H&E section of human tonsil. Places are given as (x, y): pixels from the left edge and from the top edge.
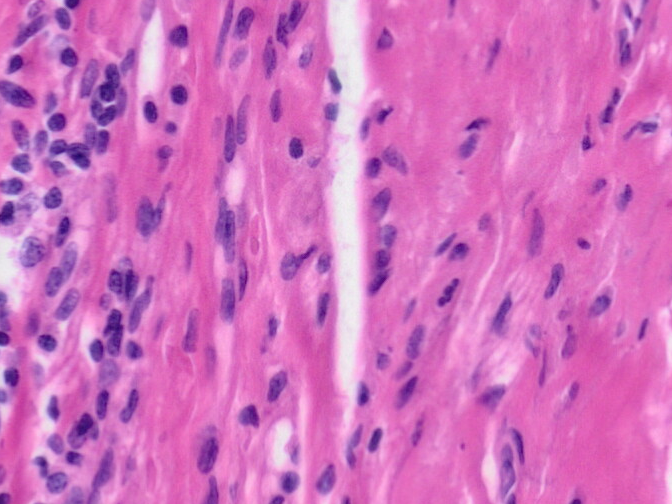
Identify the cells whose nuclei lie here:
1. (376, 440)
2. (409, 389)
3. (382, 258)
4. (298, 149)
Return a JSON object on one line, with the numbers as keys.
{"1": "mast cell", "2": "endothelial cell", "3": "endothelial cell", "4": "mast cell"}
